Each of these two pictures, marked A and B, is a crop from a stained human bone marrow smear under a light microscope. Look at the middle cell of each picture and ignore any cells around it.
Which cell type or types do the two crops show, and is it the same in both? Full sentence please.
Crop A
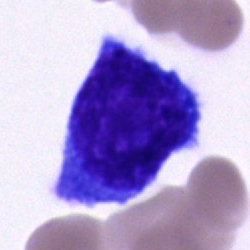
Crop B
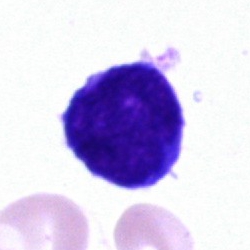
Yes, blasts are centred in both crops.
